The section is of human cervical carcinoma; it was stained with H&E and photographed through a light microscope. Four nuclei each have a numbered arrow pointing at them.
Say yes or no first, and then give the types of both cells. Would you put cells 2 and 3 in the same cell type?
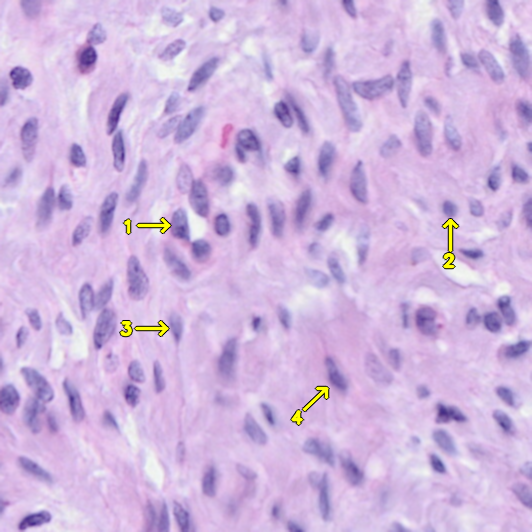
Yes, both are fibroblasts.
